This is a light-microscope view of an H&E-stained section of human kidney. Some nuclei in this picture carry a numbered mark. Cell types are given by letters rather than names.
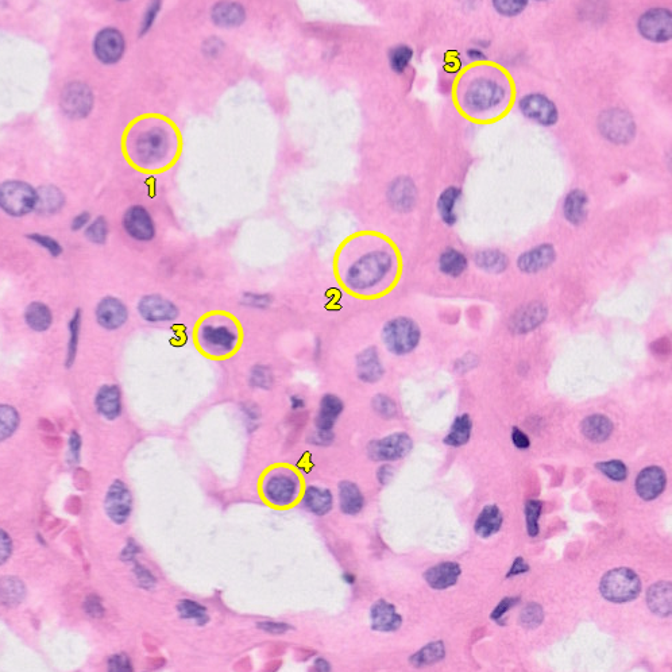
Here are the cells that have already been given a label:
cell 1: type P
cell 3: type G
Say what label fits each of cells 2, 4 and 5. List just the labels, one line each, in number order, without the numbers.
type P
type G
type G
